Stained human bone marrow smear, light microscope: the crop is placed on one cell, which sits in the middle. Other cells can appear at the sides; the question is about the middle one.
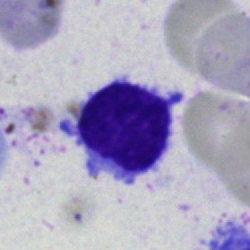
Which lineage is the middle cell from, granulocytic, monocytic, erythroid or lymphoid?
lymphoid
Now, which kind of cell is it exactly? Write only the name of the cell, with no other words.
lymphocyte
